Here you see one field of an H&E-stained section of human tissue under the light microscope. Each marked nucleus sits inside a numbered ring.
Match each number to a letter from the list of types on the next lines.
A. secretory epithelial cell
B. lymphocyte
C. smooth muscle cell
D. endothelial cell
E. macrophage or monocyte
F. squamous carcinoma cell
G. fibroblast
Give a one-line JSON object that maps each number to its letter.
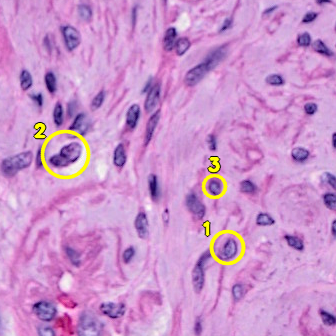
{"1": "C", "2": "E", "3": "C"}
